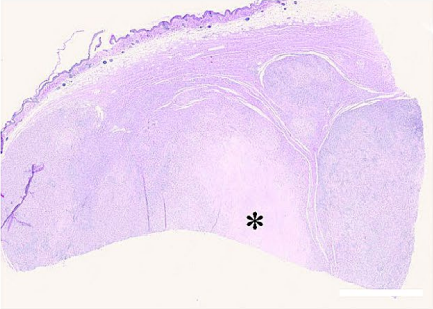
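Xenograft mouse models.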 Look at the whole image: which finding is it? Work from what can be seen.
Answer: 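The mass is divided into several rounded lobules. Thin fibrous bands separate the lobules. On this evidence: multi-lobulated.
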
